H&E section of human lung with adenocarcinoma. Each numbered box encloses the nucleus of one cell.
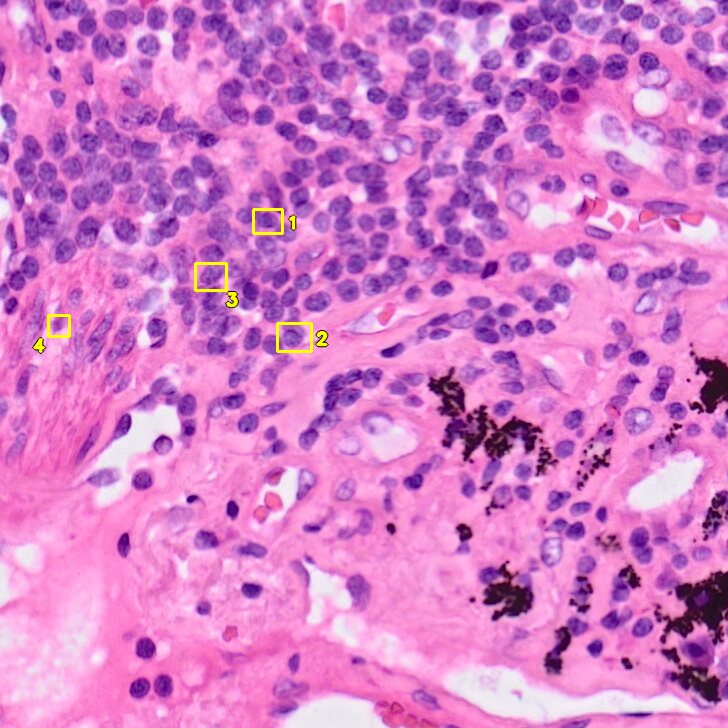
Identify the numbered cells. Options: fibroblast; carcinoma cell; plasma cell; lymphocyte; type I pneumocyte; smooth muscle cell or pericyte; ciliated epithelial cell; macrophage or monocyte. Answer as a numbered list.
1. lymphocyte
2. lymphocyte
3. lymphocyte
4. smooth muscle cell or pericyte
